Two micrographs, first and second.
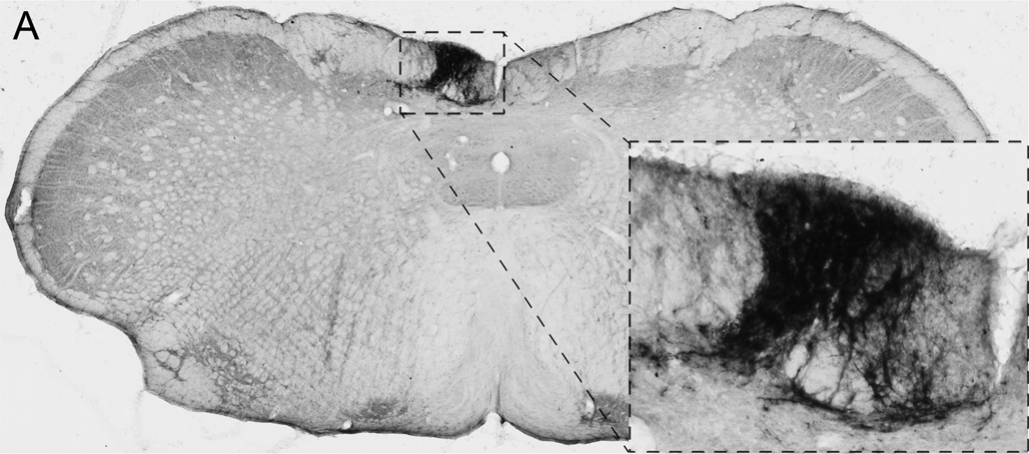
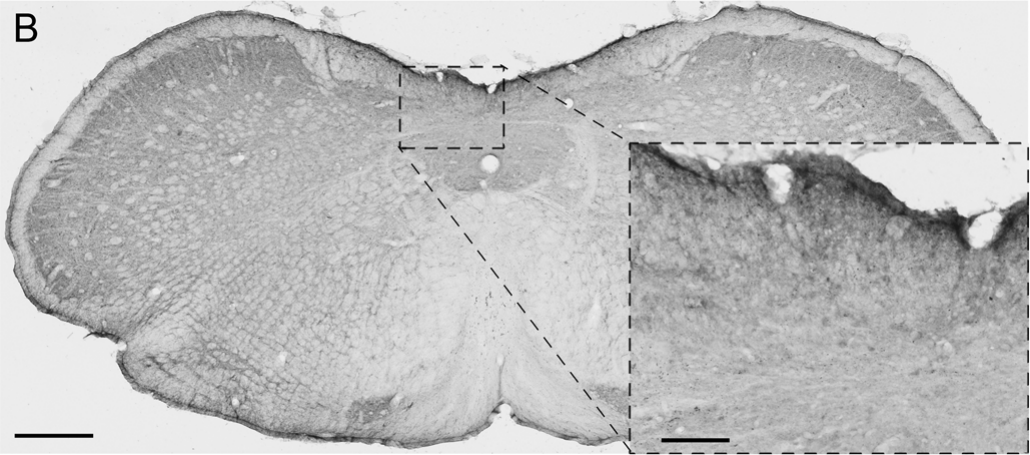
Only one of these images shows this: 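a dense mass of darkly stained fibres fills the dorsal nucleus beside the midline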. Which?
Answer: The first image.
